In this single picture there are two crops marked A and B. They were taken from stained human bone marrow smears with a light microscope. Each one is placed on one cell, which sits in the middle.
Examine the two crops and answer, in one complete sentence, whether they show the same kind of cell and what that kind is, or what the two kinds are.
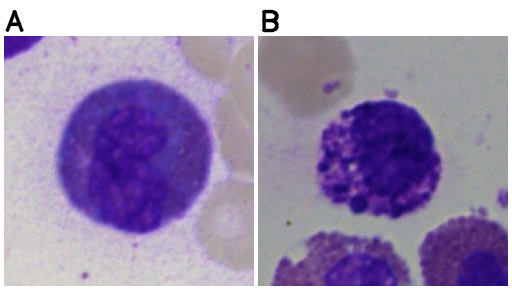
No, crop A is the one with an eosinophil; crop B has a basophil.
